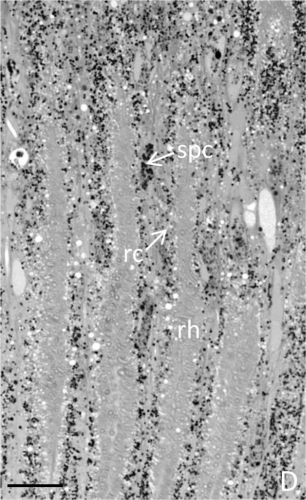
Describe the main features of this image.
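This higher magnification of a longitudinal section through the retina of a compound eye shows elongated retinula cells and secondary pigment cells arranged in parallel columns. Dense black pigment granules crowd along the cell columns, forming dark streaks that outline each ommatidium. Between these pigmented bands lie pale grey, finely striated strands, the rhabdoms, built from the packed microvilli of the retinula cells. Scattered small clear vacuoles appear within the cytoplasm. The overall pattern is of regularly alternating dark pigmented and pale rhabdomeric columns running the length of the field.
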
